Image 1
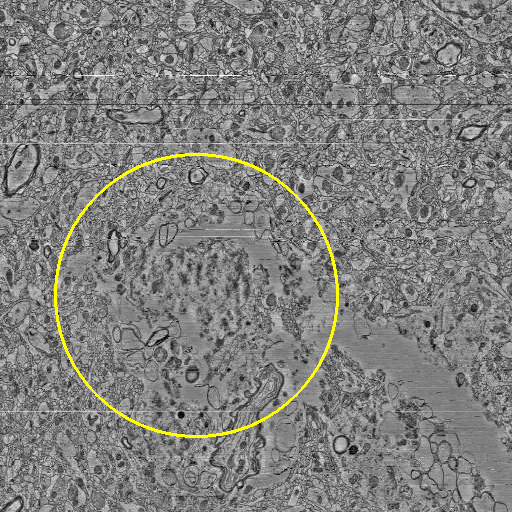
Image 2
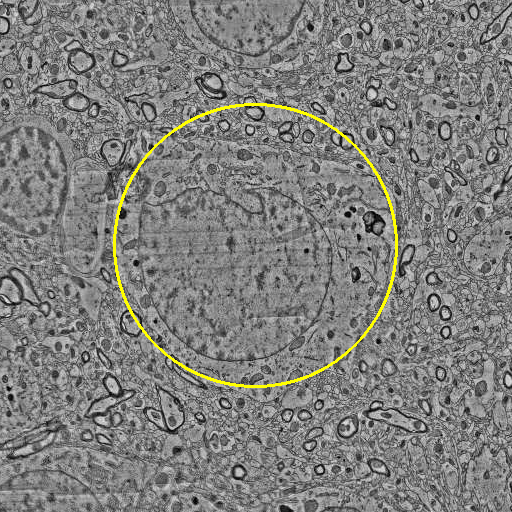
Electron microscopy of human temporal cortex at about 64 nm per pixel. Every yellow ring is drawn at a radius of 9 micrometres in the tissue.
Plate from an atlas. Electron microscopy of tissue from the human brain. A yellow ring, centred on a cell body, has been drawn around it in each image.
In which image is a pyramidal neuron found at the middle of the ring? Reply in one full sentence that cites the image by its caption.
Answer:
The requested cell is the one at the ring's centre in Image 2.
